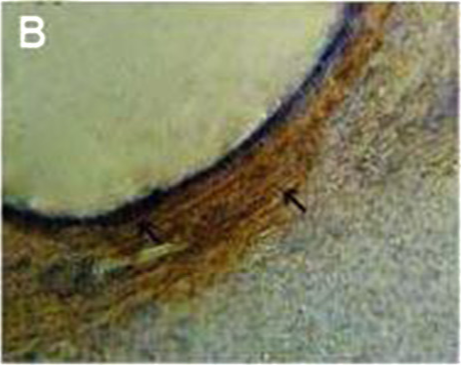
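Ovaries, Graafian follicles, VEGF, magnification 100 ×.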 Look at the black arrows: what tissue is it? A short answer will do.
Theca layer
